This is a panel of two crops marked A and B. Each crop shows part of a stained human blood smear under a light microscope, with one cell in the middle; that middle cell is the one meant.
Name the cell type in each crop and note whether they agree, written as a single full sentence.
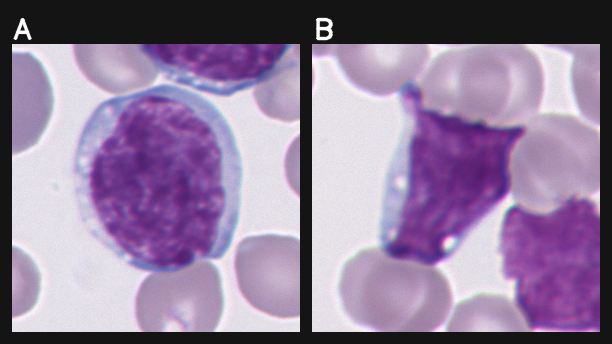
No, just to correct that: crop A shows a myeloblast, crop B shows a typical lymphocyte.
